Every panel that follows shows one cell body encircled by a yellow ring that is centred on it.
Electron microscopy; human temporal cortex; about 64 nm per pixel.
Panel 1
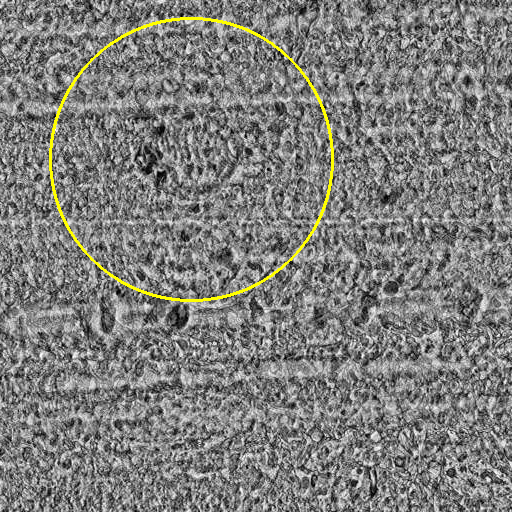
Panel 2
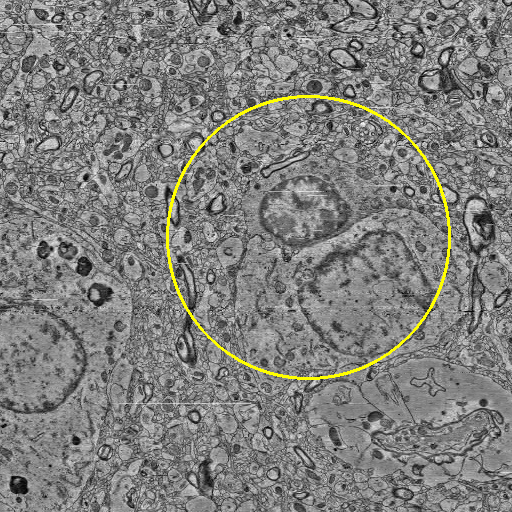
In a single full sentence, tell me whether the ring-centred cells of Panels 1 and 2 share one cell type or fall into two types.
In Panel 1 and Panel 2, the cells at the ring centres share one cell type.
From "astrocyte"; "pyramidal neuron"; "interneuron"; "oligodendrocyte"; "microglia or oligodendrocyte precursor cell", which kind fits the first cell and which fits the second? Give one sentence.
In each of the two pictures, the ringed cell is an oligodendrocyte.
